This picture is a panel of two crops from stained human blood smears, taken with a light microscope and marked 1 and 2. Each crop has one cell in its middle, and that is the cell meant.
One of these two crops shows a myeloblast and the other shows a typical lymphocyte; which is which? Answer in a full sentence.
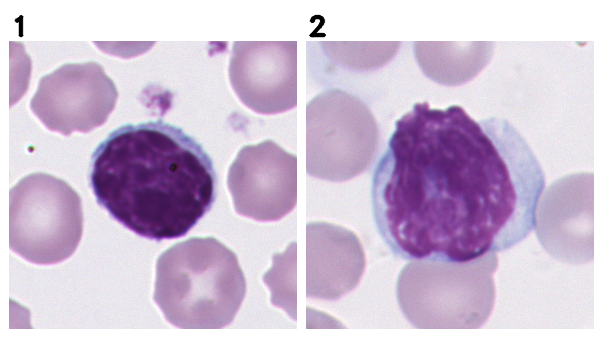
Crop 1 contains a typical lymphocyte, and crop 2, a myeloblast.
